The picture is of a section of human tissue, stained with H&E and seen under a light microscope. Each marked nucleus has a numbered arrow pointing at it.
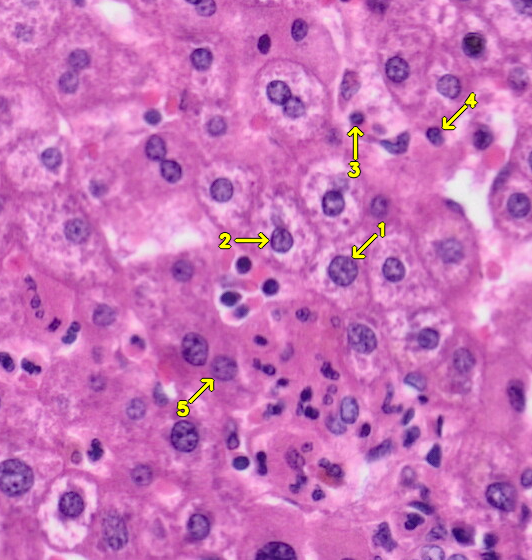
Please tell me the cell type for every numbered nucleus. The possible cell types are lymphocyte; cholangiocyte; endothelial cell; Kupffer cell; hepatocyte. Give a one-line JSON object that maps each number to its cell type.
{"1": "hepatocyte", "2": "hepatocyte", "3": "lymphocyte", "4": "lymphocyte", "5": "hepatocyte"}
